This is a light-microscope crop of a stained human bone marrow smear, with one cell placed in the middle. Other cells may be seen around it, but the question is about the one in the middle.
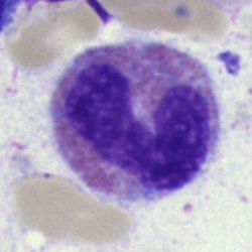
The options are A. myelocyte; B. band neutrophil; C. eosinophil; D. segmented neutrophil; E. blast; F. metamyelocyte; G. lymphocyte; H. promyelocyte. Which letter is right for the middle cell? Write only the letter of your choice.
C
